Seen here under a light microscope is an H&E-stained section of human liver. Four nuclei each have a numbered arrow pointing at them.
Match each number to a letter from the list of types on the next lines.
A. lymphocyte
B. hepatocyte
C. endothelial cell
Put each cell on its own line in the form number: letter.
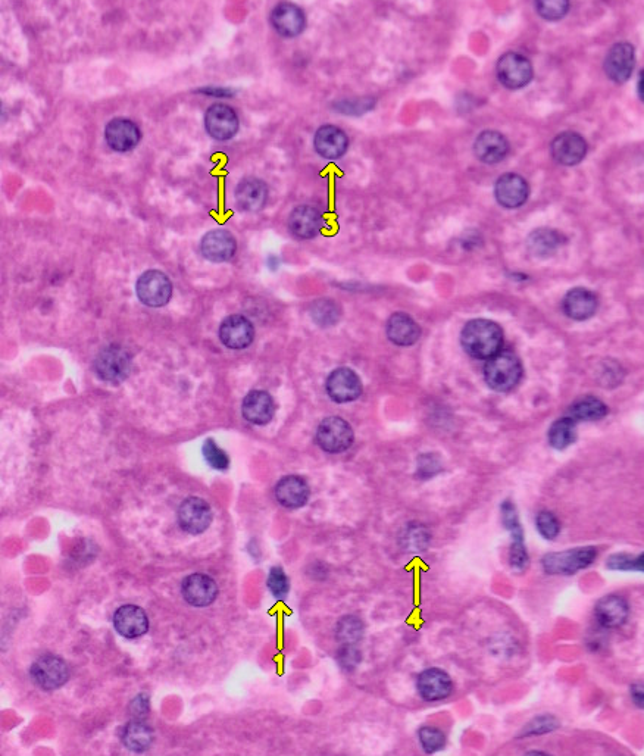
1: A
2: B
3: B
4: B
